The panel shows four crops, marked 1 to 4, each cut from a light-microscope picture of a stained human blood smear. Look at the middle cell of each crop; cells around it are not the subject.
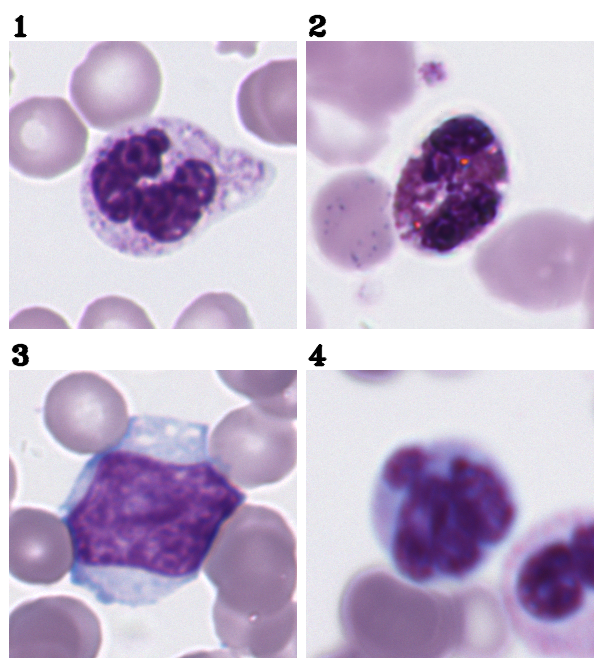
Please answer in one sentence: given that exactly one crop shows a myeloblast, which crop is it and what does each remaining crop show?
It is crop 3 that shows a myeloblast, while crop 1 is a segmented neutrophil, crop 2 is an eosinophil and crop 4 is a monocyte.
